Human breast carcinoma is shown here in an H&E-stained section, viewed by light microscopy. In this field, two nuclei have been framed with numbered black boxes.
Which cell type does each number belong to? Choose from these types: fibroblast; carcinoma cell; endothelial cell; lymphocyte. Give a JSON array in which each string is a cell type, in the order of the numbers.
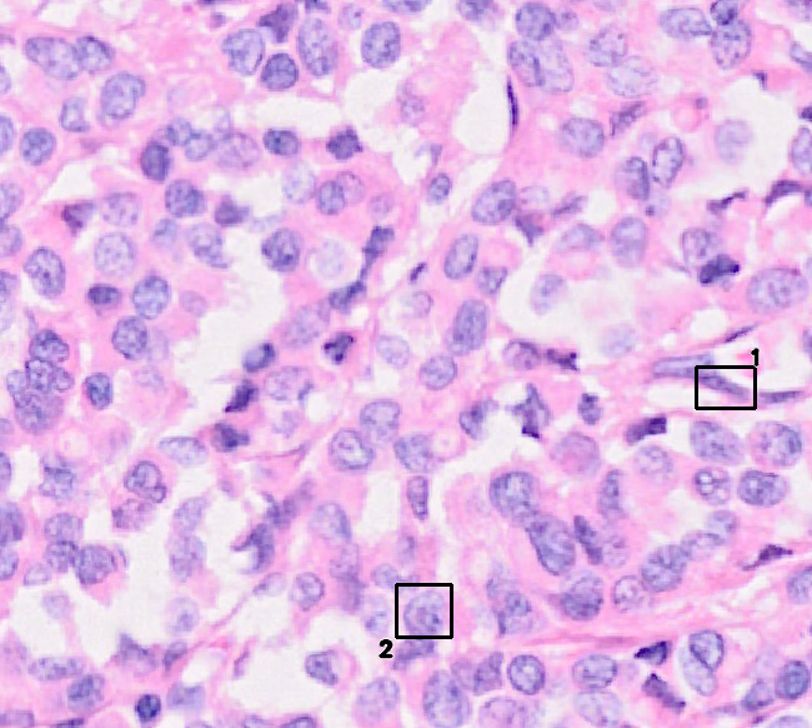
["endothelial cell", "carcinoma cell"]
